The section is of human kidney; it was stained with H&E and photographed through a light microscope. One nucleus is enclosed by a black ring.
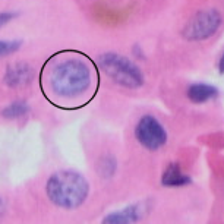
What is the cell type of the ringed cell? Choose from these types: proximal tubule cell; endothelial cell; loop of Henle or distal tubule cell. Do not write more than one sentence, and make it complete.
In this section of tissue, the ringed cell is a loop of Henle or distal tubule cell.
